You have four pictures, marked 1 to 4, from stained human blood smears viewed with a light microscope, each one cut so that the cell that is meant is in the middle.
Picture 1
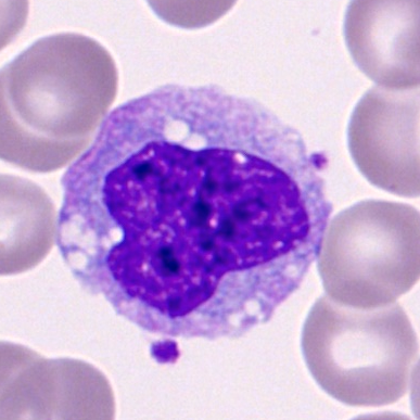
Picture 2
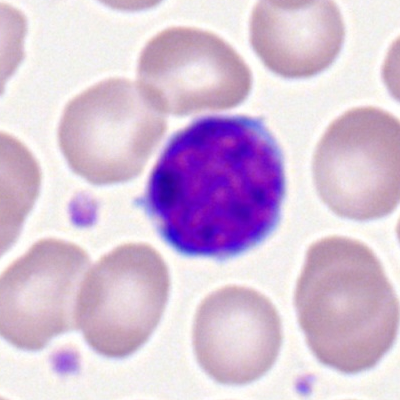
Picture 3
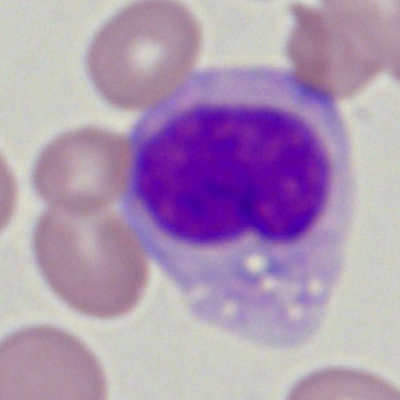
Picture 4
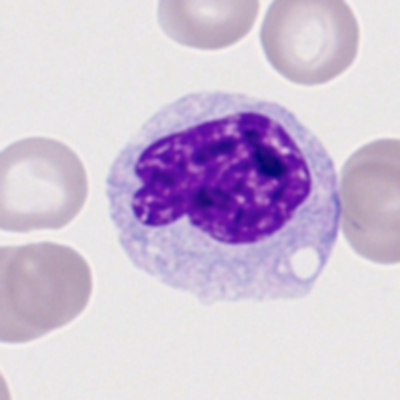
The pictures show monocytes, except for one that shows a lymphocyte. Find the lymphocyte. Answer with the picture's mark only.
2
